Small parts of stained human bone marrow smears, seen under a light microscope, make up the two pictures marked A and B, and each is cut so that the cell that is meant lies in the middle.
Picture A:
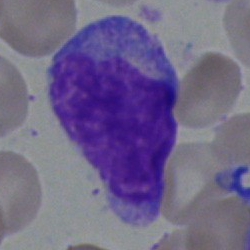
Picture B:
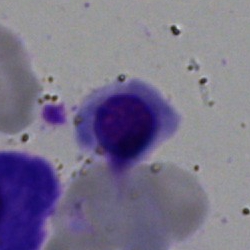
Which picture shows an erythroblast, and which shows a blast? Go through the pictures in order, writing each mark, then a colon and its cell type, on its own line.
A: blast
B: erythroblast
